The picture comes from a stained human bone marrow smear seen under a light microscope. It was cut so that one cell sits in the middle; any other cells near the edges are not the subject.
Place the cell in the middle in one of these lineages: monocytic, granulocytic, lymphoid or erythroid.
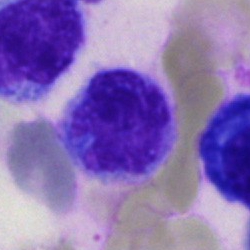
monocytic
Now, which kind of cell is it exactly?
monocyte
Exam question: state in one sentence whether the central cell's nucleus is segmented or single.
The cell carries one compact nucleus shaped round, oval or like a kidney.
